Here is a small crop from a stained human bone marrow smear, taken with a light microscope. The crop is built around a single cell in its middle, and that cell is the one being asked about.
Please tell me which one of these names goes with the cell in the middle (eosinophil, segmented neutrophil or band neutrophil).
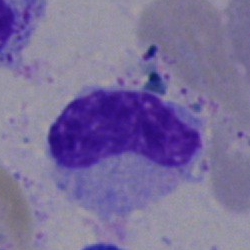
band neutrophil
